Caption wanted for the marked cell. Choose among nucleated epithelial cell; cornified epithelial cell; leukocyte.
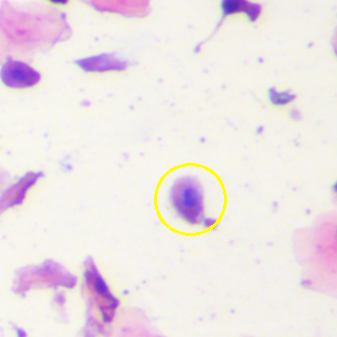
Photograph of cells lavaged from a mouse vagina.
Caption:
Ringed in yellow is a nucleated epithelial cell.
